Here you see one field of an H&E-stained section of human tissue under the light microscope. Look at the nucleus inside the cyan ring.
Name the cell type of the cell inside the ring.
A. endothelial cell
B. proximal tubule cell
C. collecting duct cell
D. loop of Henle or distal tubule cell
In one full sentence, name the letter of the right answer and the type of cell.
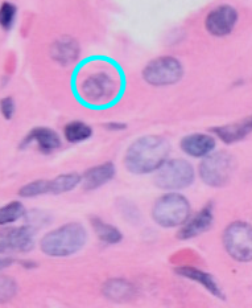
Of all the options, D is right, since the cell inside the ring is a loop of Henle or distal tubule cell.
